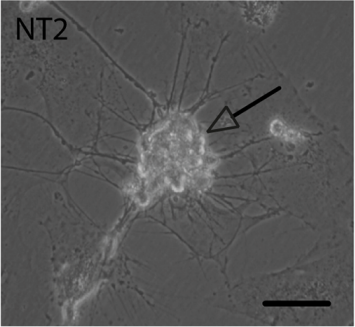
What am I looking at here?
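Neuronal-like cultured cells gather into a dense, rounded ganglion-like cluster of many packed cell bodies. Many fine processes radiate outward from the cluster in all directions, some gathering into thicker bundles and branching far across the surrounding field.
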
